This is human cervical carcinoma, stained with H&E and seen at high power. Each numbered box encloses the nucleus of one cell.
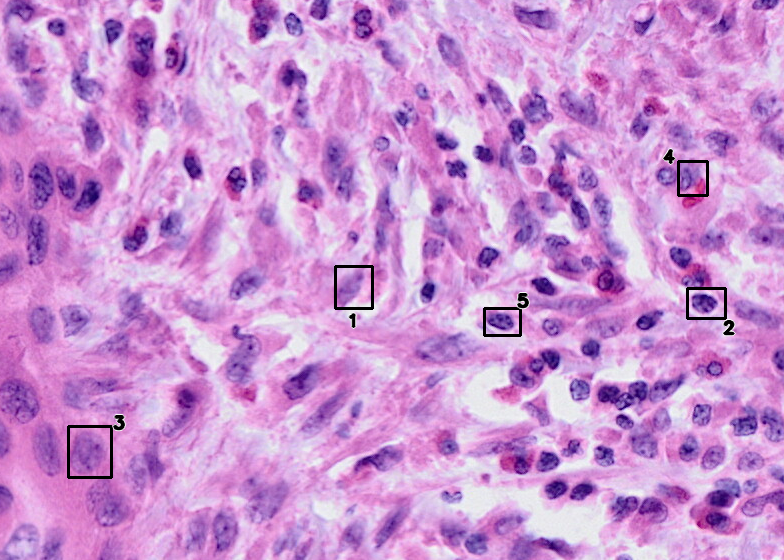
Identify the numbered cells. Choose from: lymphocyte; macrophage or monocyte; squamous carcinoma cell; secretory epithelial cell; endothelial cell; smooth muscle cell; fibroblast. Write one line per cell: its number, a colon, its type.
1: fibroblast
2: lymphocyte
3: squamous carcinoma cell
4: endothelial cell
5: lymphocyte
